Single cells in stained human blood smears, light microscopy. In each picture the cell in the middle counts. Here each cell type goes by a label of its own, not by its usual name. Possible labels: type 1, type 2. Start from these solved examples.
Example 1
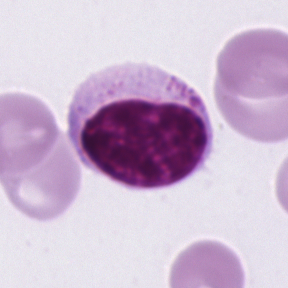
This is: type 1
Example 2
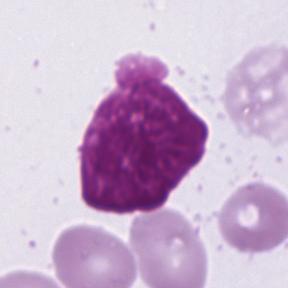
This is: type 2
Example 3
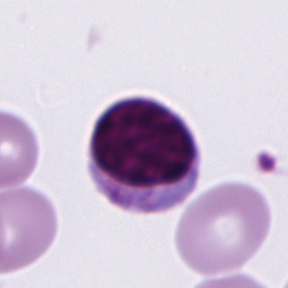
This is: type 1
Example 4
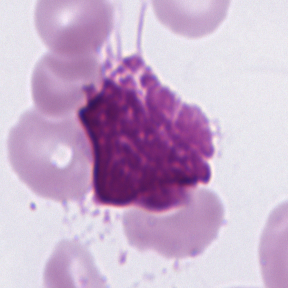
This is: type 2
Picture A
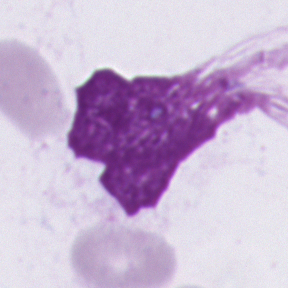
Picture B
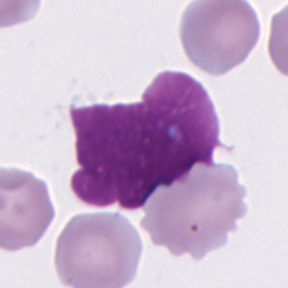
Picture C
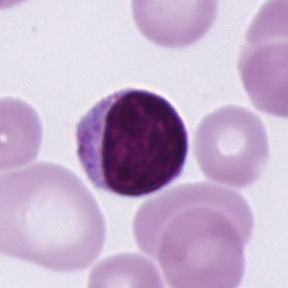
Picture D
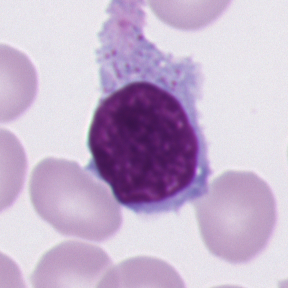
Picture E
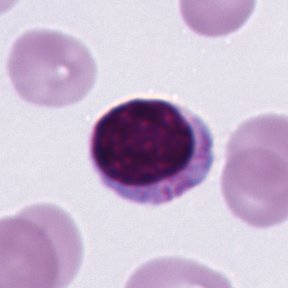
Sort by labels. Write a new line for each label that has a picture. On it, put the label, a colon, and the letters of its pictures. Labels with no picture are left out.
type 1: C, D, E
type 2: A, B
